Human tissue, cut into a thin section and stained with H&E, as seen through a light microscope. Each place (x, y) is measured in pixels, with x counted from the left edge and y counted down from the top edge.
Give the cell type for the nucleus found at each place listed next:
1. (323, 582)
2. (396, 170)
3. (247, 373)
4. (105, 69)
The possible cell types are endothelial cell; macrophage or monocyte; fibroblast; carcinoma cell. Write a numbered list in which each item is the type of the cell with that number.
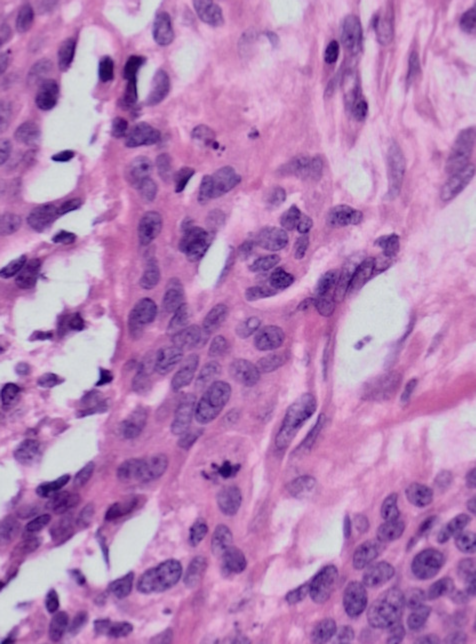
1. carcinoma cell
2. fibroblast
3. carcinoma cell
4. carcinoma cell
